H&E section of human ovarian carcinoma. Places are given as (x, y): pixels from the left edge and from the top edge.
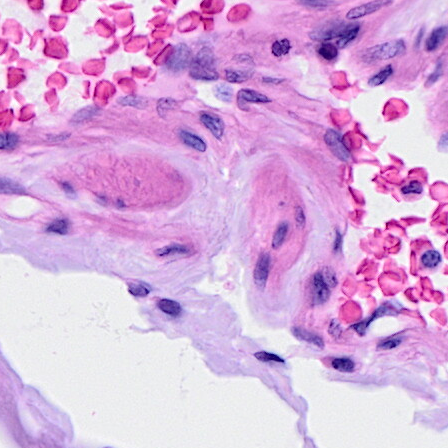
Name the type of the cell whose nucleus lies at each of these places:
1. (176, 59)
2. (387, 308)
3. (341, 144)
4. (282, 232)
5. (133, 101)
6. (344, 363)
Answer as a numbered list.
1. endothelial cell
2. endothelial cell
3. endothelial cell
4. smooth muscle cell
5. endothelial cell
6. lymphocyte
